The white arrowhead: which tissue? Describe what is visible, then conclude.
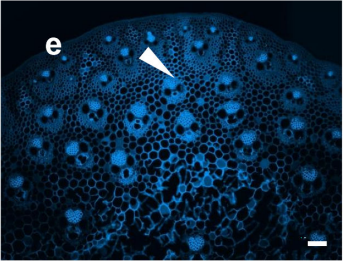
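Phloem. The arrowhead points to a patch of small cells inside a vascular bundle near the stem surface.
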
